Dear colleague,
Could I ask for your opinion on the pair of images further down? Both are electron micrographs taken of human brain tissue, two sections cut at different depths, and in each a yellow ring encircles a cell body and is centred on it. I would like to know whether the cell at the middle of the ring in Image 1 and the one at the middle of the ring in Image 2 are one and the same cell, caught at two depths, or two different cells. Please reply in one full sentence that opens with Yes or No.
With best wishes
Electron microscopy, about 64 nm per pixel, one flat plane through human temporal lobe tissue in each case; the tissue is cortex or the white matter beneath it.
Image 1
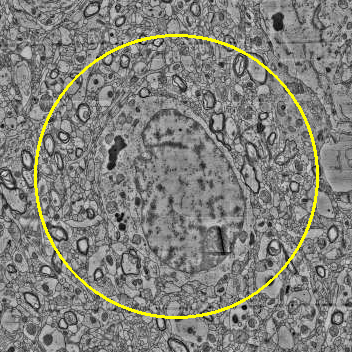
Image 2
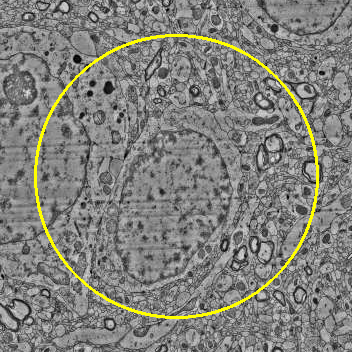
No, the two rings do not mark one cell; they mark two different cells.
